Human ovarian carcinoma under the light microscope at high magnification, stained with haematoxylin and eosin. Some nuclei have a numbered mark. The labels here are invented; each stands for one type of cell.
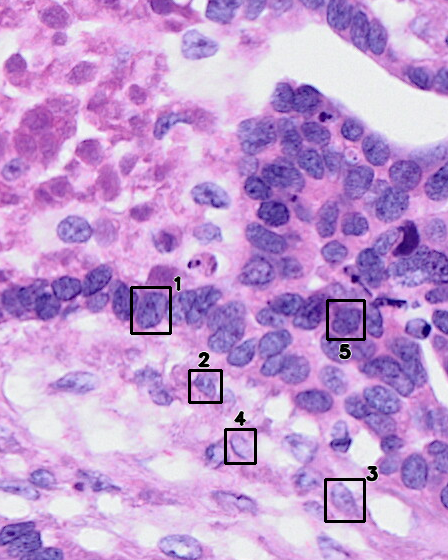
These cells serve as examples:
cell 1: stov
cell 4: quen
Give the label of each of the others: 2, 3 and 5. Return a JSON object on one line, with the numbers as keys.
{"2": "quen", "3": "quen", "5": "stov"}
